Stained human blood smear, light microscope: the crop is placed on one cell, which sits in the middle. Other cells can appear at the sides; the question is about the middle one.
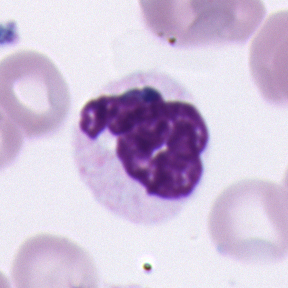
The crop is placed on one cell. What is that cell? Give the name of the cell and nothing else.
segmented neutrophil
